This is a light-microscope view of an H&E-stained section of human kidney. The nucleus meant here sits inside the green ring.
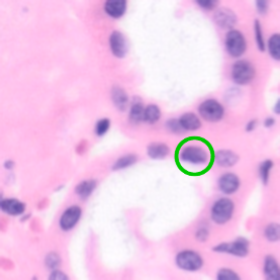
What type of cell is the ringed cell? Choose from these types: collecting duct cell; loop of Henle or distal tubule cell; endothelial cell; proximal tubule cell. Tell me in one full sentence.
By cell type, the ringed cell is a collecting duct cell.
